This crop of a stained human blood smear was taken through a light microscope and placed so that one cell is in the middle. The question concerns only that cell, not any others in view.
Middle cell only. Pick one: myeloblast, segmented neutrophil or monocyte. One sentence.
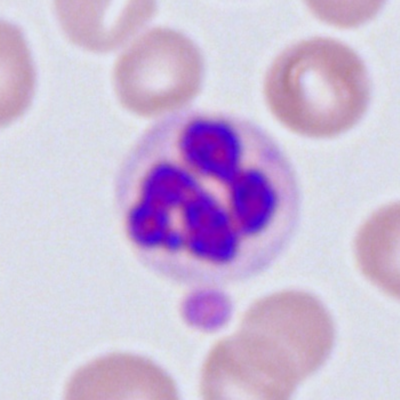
This crop's central cell is a segmented neutrophil.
